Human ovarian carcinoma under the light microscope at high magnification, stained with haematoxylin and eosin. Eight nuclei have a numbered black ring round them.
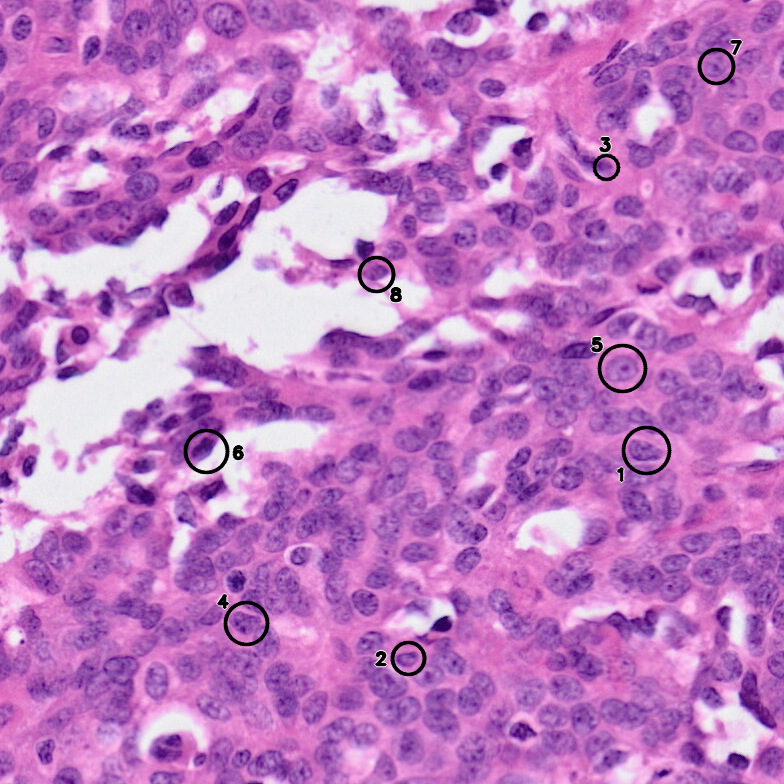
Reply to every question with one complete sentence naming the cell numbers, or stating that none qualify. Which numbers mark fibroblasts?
No numbered cell here qualifies as one of the fibroblasts.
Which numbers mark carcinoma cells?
The cells identified by the numbers 5, 6 and 7 are carcinoma cells.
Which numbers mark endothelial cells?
Cell 3 is an endothelial cell, while all remaining marked cells are of other types.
